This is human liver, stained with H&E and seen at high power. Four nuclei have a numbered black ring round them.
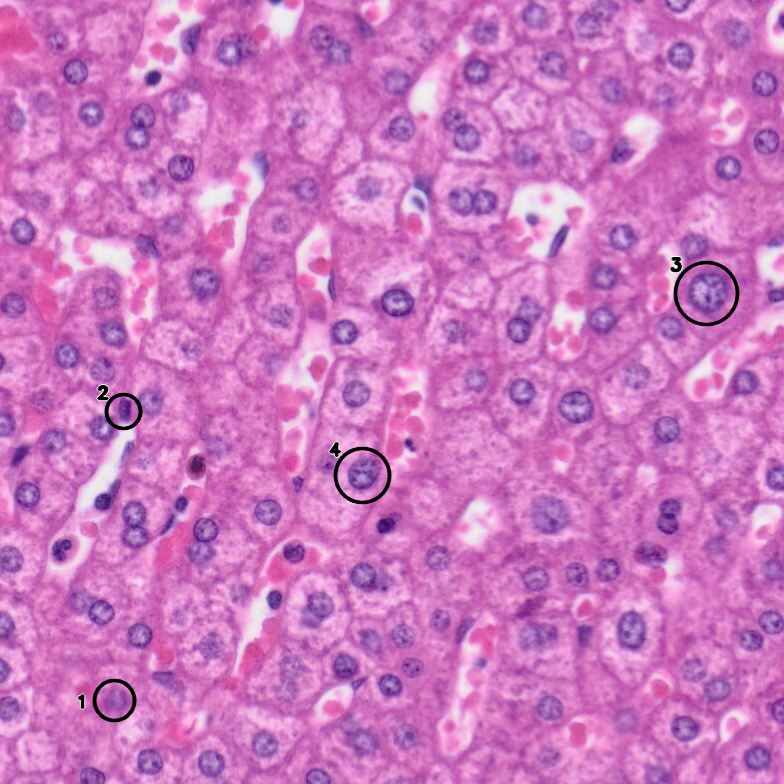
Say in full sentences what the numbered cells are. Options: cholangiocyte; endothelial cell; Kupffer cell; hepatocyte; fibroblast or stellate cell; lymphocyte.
Cell 1 is a hepatocyte, cell 2 is a fibroblast or stellate cell, cell 3 is a hepatocyte and cell 4 is a hepatocyte.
